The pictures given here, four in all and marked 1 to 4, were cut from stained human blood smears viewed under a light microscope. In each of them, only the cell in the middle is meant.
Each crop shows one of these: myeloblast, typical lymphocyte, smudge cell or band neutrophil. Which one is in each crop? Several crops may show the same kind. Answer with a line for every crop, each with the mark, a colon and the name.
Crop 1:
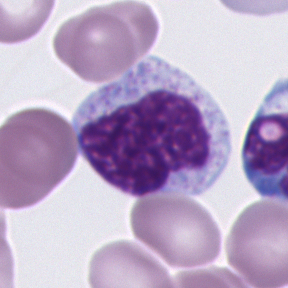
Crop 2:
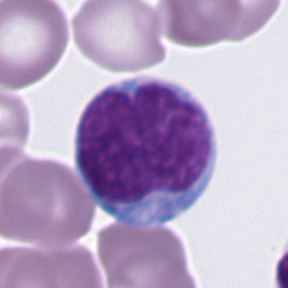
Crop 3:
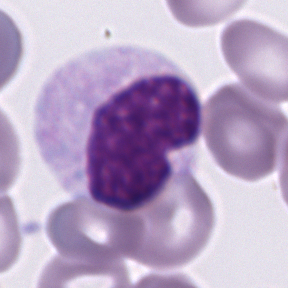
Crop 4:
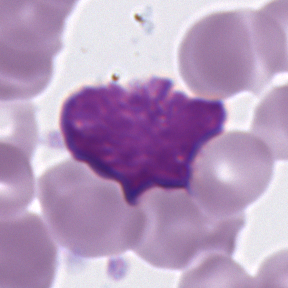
1: band neutrophil
2: myeloblast
3: band neutrophil
4: smudge cell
